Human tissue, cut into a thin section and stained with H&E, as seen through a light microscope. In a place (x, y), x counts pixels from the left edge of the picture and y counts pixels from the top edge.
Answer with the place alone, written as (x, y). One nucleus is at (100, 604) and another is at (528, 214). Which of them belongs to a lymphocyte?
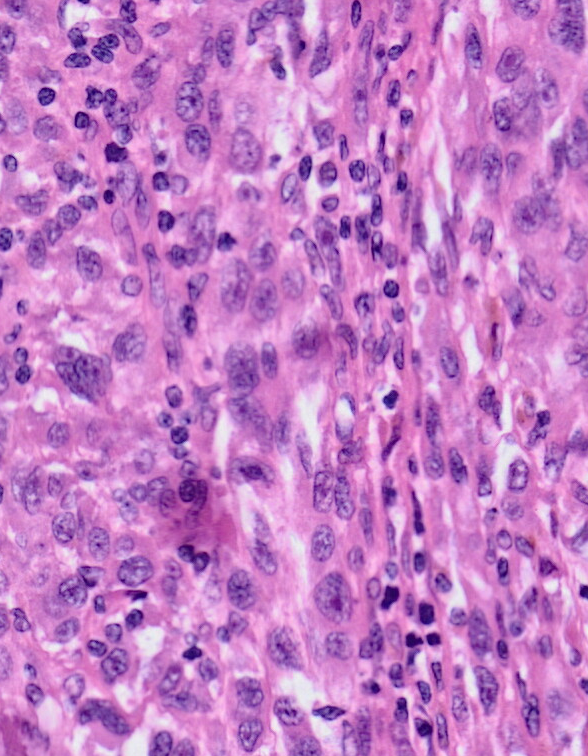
(100, 604)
